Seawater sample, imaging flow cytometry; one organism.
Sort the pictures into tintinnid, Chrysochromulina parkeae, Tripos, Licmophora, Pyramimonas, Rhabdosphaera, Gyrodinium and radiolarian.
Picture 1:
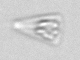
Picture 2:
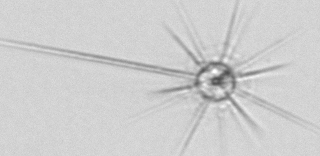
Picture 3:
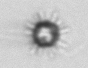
Licmophora: 1
Radiolarians: 2
Rhabdosphaera: 3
